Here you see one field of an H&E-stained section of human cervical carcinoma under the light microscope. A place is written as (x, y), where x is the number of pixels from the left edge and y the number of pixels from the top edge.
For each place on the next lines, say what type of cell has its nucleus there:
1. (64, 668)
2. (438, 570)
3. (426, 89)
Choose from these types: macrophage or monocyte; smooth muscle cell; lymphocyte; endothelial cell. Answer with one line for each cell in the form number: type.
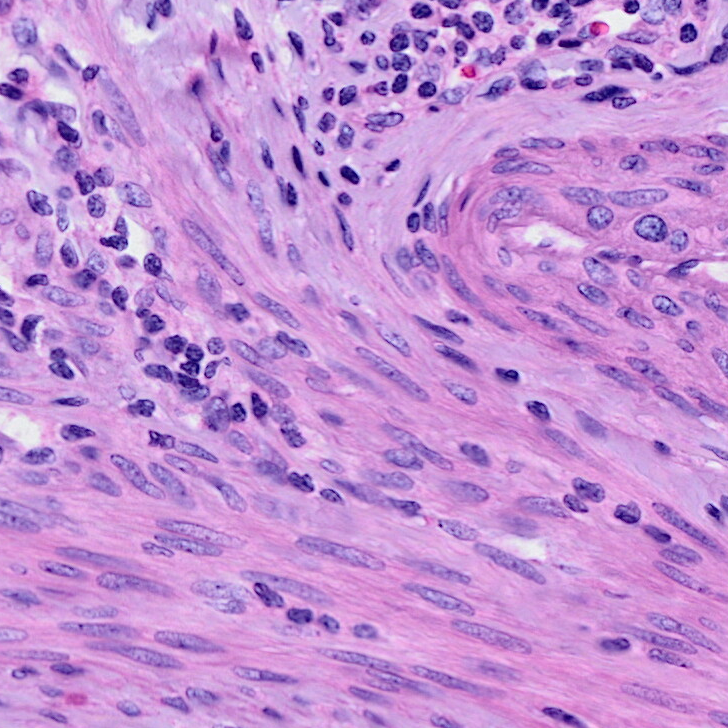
1: smooth muscle cell
2: smooth muscle cell
3: lymphocyte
